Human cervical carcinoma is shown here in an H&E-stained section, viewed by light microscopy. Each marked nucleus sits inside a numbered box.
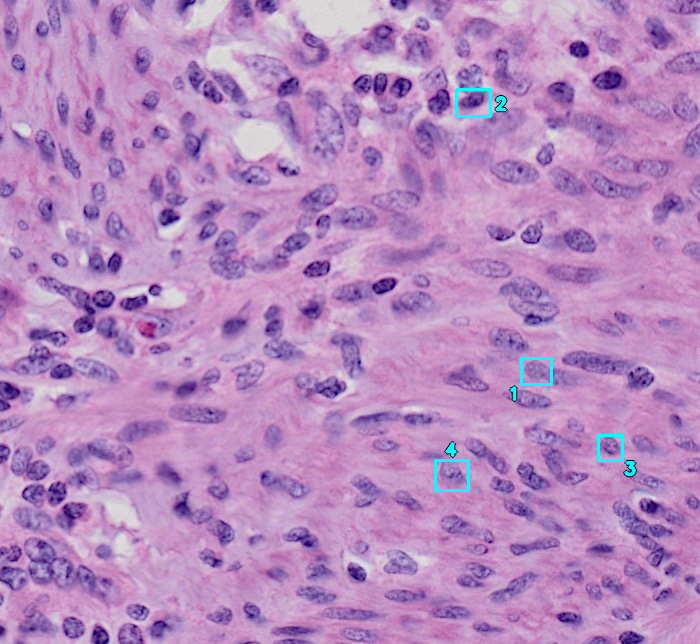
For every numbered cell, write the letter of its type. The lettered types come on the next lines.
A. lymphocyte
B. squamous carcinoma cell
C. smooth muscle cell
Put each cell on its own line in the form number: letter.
1: C
2: A
3: C
4: C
